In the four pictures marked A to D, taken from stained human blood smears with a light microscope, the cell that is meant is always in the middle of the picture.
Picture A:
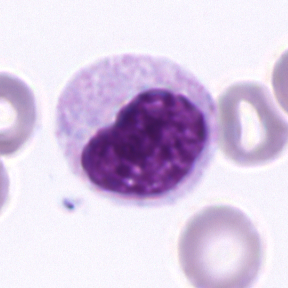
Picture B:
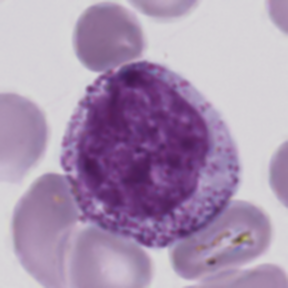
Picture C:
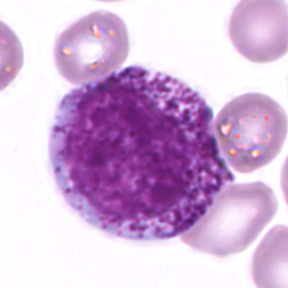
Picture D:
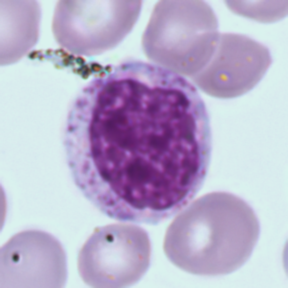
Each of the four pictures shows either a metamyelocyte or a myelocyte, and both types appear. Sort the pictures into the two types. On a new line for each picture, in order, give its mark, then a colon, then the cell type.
A: metamyelocyte
B: myelocyte
C: myelocyte
D: myelocyte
